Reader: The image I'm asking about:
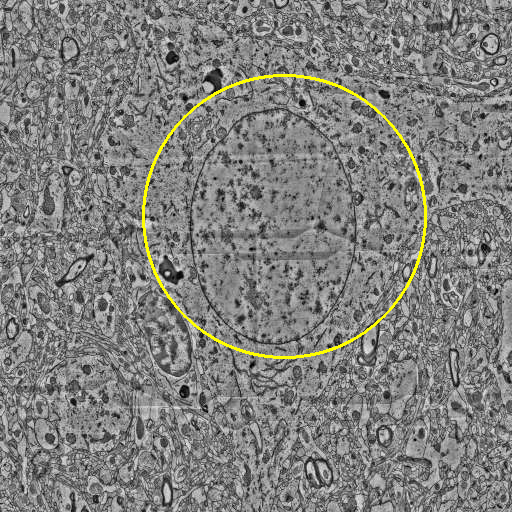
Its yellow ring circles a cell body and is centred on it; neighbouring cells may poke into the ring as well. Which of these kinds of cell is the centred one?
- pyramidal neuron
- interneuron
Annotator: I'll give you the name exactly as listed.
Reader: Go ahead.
pyramidal neuron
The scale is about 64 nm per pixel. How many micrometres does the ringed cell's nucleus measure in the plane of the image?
Roughly 15 micrometres by 13 micrometres, in this plane.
